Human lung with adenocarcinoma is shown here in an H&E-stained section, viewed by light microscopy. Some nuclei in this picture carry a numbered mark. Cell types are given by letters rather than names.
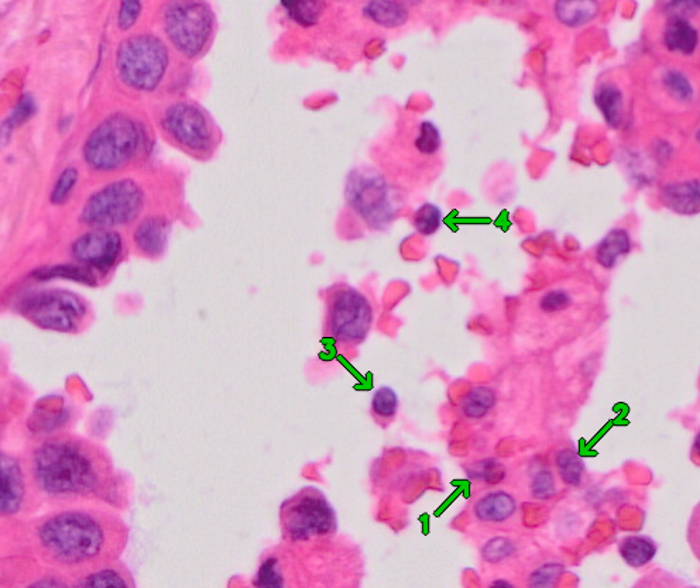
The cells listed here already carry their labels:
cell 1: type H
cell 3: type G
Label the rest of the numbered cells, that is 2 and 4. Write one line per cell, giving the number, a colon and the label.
2: type H
4: type G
